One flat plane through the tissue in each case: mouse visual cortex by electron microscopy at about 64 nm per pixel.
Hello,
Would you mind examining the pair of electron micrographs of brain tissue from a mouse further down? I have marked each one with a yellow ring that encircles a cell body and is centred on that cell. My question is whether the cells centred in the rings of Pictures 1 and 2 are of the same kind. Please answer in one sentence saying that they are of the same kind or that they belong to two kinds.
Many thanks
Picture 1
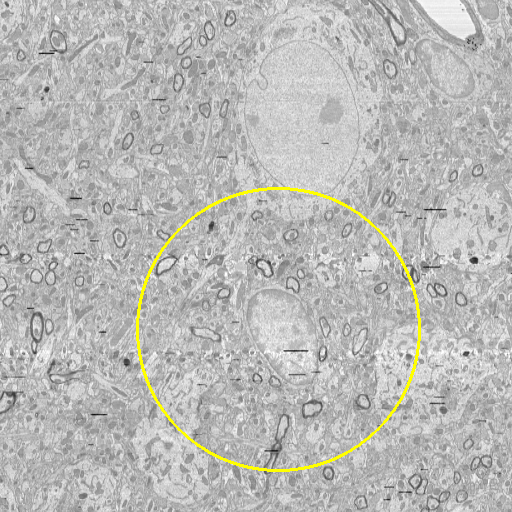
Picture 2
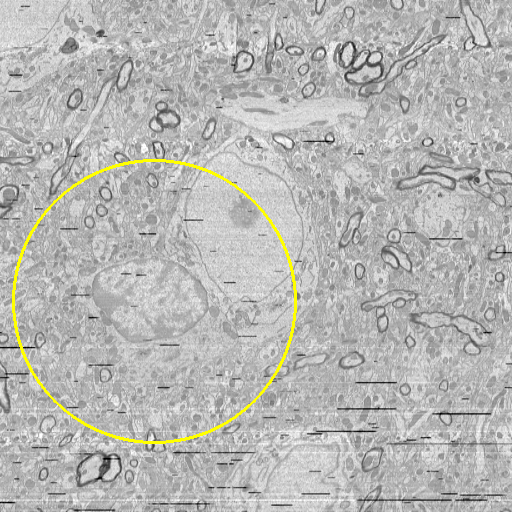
In Pictures 1 and 2, the cells at the heart of the rings are of the same kind.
